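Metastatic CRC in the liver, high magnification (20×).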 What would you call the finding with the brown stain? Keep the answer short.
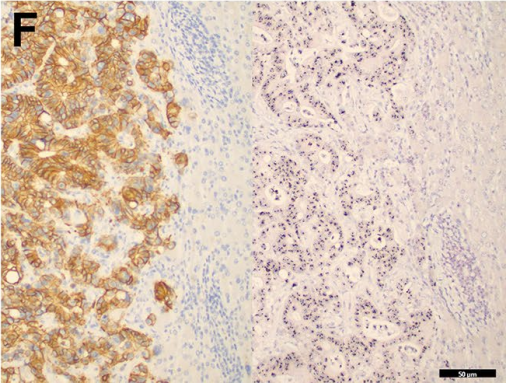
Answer: Strong membranous staining pattern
